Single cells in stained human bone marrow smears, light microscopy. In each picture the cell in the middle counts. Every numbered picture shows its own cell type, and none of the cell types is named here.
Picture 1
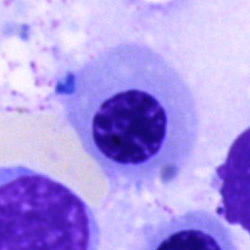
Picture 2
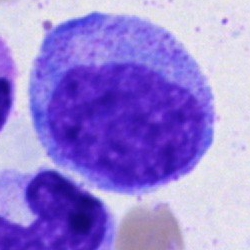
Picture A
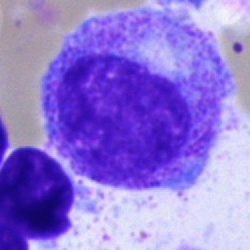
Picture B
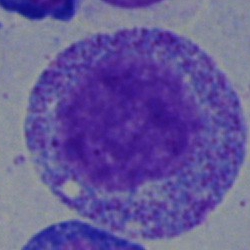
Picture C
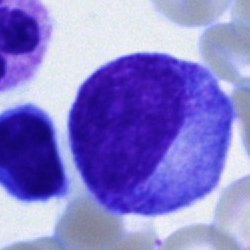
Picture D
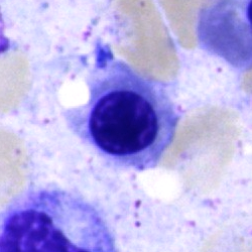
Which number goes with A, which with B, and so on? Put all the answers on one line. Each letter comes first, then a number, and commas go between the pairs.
A 2, B 2, C 2, D 1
